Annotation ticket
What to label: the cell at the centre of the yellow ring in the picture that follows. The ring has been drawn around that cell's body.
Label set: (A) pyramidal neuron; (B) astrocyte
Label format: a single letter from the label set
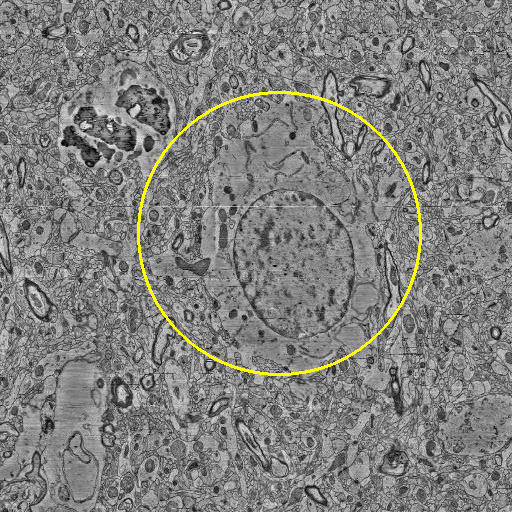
B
